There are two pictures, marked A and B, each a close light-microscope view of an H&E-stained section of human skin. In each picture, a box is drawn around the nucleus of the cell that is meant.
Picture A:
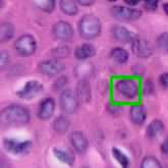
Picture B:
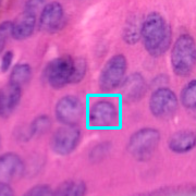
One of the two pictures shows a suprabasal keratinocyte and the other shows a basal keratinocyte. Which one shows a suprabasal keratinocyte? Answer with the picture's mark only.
B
